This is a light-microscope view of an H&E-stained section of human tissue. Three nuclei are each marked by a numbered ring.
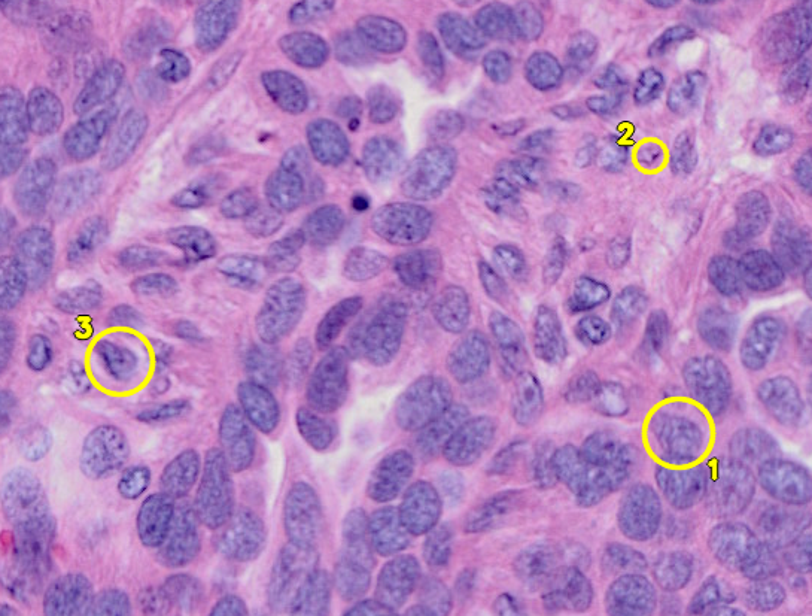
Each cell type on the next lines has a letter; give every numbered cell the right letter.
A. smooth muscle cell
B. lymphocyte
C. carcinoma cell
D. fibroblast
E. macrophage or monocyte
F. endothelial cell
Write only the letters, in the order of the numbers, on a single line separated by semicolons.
C; D; D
